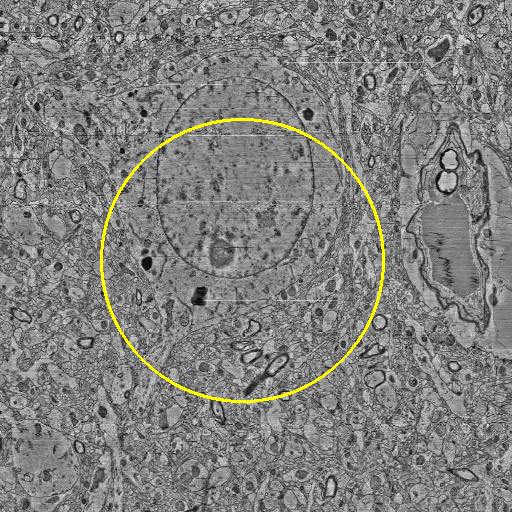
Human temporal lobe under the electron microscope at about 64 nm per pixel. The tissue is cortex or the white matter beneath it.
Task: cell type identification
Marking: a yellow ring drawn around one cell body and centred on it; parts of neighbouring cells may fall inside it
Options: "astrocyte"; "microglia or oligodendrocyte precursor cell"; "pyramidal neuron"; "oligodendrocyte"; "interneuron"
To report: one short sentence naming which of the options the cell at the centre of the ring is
The cell at the centre of the ring is a pyramidal neuron.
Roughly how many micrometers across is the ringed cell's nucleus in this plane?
In this plane the nucleus is about 13 micrometres by 10.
